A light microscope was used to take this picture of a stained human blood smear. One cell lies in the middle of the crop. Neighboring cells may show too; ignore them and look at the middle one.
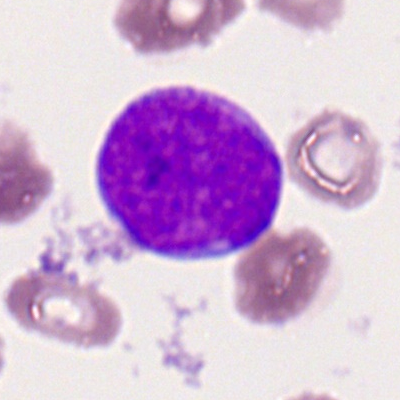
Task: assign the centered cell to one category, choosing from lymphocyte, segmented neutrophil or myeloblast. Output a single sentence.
What sits at the centre of this crop is a myeloblast.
